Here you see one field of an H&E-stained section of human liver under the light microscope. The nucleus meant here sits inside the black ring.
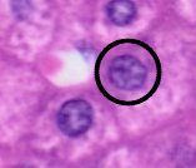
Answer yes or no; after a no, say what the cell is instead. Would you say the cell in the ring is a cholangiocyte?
No, it is a hepatocyte.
